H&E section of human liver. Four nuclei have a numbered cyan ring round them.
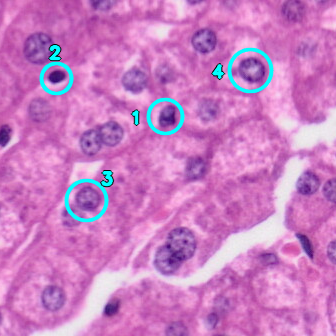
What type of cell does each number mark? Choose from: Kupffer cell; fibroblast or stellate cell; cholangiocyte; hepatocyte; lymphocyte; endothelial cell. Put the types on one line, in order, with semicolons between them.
endothelial cell; lymphocyte; hepatocyte; hepatocyte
